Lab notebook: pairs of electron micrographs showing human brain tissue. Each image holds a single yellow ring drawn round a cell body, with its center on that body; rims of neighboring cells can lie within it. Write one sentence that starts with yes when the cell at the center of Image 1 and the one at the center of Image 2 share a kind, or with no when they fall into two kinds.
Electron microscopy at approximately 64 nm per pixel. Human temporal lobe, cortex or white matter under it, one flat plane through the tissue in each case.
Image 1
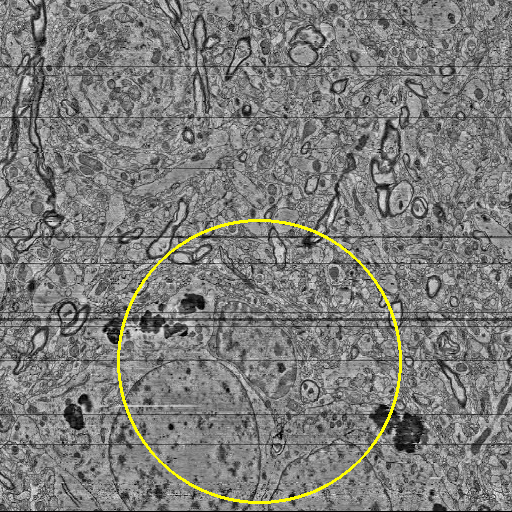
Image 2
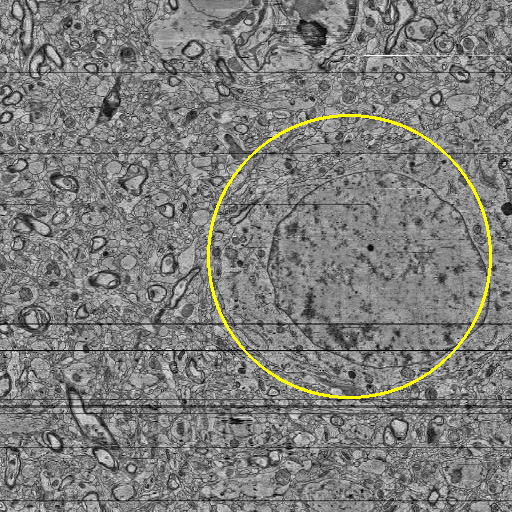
No, the centered cell in Image 1 and the centered cell in Image 2 are of two kinds.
